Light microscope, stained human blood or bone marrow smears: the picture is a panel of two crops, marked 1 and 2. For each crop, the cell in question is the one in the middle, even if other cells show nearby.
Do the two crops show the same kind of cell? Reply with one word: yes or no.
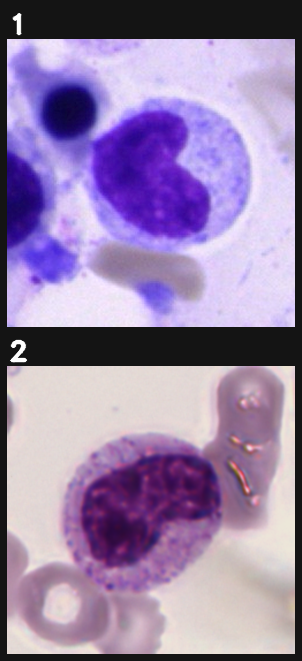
yes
